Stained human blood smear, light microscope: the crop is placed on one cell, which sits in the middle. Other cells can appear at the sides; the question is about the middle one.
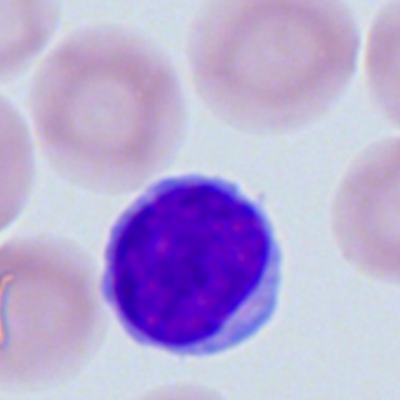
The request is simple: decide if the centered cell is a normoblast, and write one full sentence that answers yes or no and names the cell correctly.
No, at the centre of this crop is found a lymphocyte instead of a normoblast.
